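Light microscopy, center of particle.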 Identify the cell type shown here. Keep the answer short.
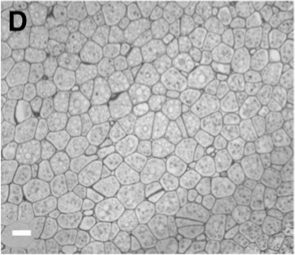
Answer: Parenchyma cells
